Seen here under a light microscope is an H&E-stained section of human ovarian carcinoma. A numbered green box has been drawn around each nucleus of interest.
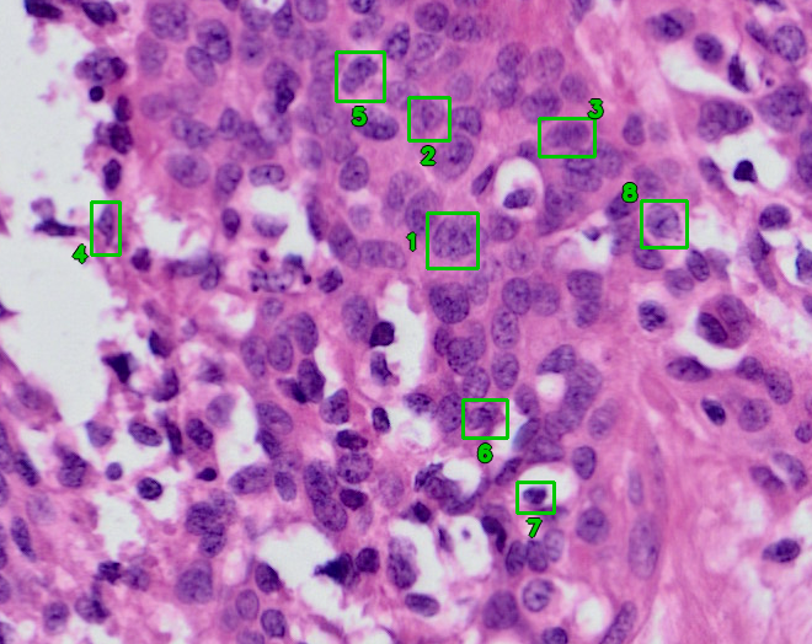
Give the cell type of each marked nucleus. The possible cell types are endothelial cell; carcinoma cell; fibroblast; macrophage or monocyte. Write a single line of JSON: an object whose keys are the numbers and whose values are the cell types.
{"1": "carcinoma cell", "2": "carcinoma cell", "3": "carcinoma cell", "4": "macrophage or monocyte", "5": "macrophage or monocyte", "6": "carcinoma cell", "7": "carcinoma cell", "8": "macrophage or monocyte"}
